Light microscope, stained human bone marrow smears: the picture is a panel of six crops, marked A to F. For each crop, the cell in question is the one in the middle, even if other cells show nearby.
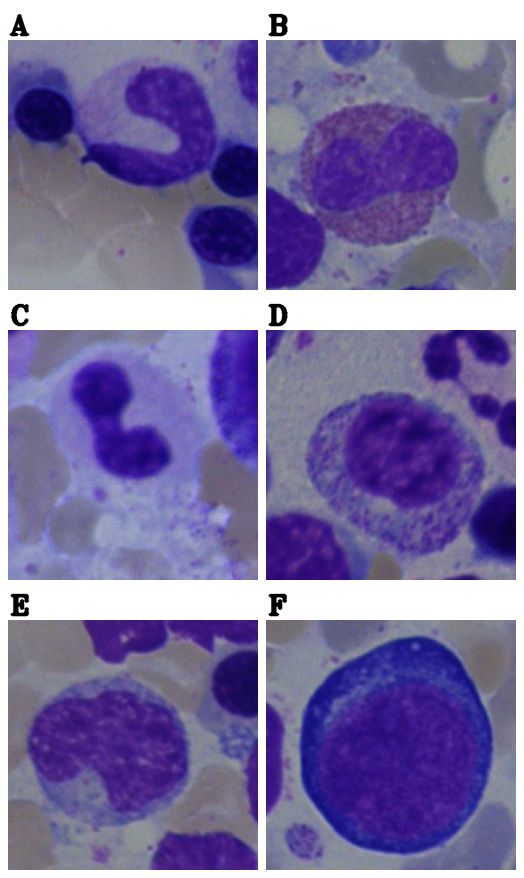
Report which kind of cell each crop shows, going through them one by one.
A: band neutrophil
B: eosinophil
C: band neutrophil
D: myelocyte
E: monocyte
F: proerythroblast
